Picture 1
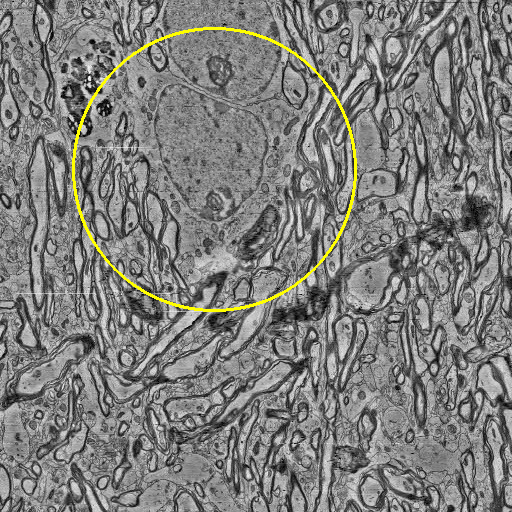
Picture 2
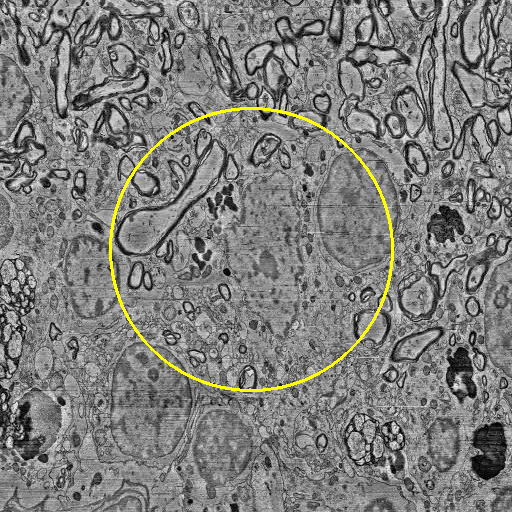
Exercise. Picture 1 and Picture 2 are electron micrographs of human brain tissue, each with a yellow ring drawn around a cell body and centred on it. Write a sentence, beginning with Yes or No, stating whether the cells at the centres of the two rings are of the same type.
Yes, the cells at the centres of both rings are of the same type.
